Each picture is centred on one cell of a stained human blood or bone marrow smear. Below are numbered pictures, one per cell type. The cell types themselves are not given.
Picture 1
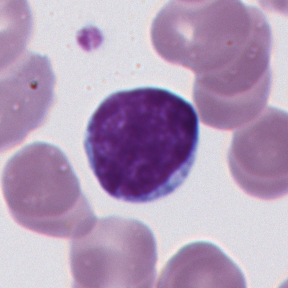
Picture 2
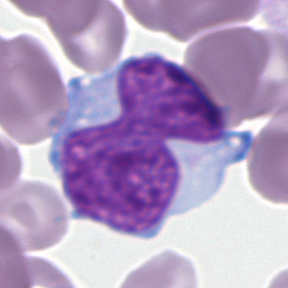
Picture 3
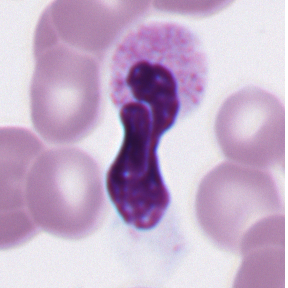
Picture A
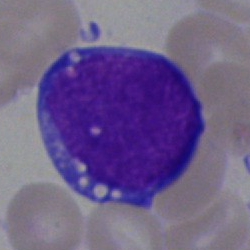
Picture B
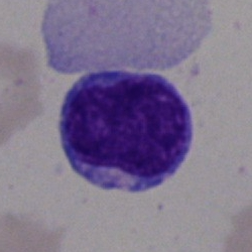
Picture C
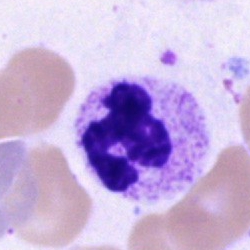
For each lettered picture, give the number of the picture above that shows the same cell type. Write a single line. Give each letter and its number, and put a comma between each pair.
A 2, B 2, C 3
